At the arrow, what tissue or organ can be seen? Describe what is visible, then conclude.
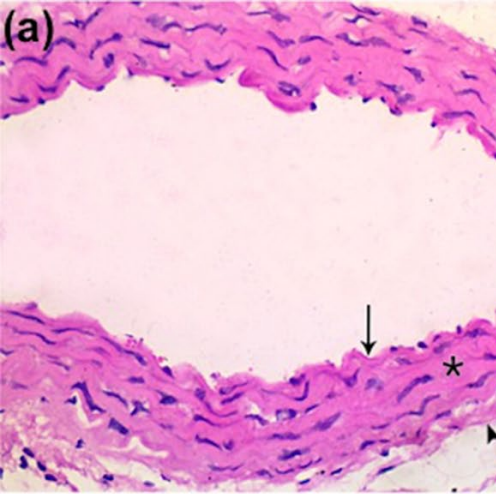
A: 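Tunica intima. The arrow points to the thin innermost lining bordering the empty lumen. Above the arrow lies the empty lumen; below it lie the wavy pink layers of the wall.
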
